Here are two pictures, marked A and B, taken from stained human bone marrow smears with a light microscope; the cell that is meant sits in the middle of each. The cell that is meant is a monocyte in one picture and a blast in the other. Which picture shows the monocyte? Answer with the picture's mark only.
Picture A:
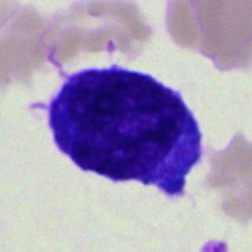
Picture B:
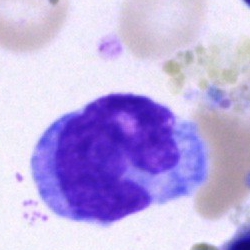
B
